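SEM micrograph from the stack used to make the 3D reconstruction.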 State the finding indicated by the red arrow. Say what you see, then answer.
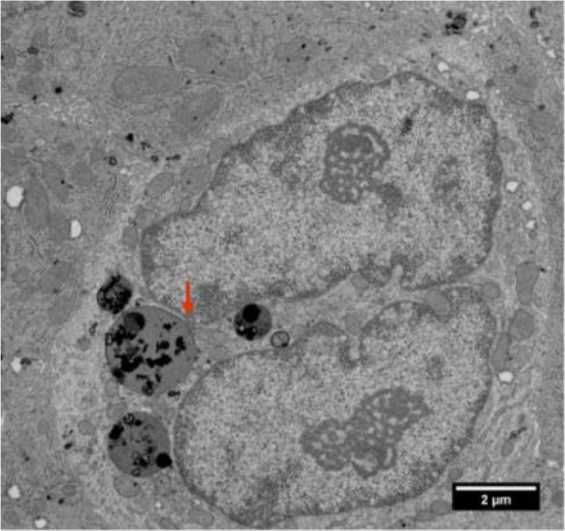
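The red arrow points where a round vesicle full of black particles touches the nuclear envelope. No cytoplasm separates the vesicle from the nucleus at that point. That points to this answer: direct contact.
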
